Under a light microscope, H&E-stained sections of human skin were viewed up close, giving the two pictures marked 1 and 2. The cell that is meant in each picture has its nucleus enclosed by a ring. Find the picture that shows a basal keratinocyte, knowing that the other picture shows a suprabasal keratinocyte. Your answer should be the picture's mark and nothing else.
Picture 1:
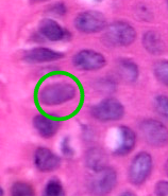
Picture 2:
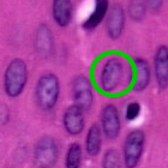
1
